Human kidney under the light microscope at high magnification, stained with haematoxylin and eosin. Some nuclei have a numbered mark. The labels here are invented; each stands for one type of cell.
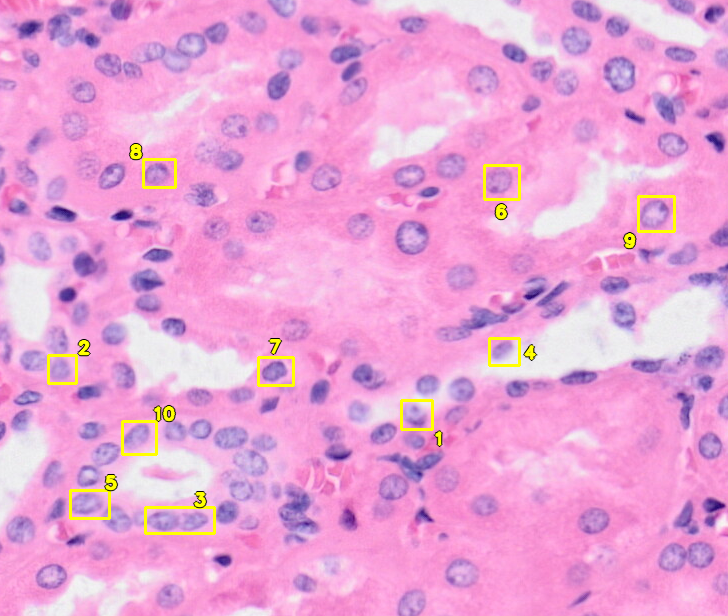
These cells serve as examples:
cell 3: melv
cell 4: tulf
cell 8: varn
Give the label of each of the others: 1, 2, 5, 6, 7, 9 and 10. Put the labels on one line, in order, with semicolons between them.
tulf; melv; melv; varn; tulf; varn; melv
